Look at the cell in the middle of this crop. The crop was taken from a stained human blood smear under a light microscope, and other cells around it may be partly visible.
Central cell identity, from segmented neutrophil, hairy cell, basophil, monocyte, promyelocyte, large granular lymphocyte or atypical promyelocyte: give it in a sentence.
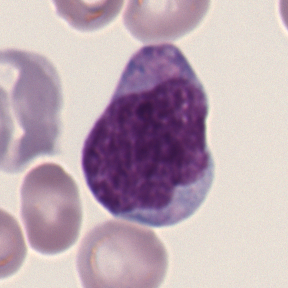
Occupying the centre of the crop is an atypical promyelocyte.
